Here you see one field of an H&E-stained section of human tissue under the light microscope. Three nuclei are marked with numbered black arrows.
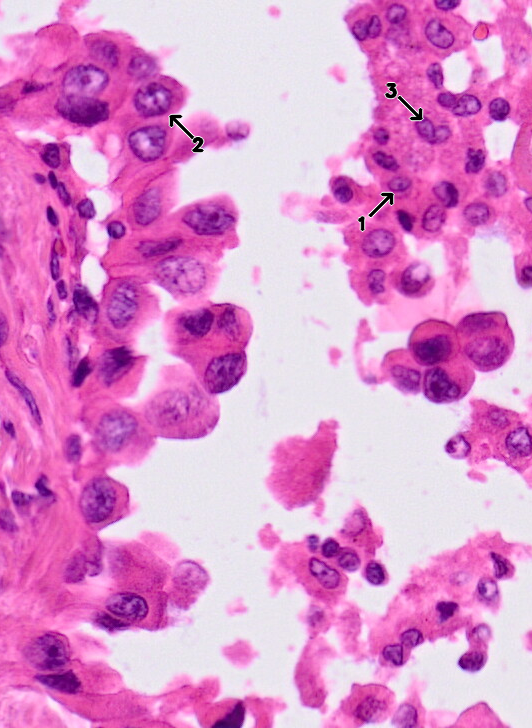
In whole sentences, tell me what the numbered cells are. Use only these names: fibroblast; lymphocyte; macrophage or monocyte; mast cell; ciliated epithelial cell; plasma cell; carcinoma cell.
Cells 1 and 3 are macrophages or monocytes. Cell 2 is a carcinoma cell.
